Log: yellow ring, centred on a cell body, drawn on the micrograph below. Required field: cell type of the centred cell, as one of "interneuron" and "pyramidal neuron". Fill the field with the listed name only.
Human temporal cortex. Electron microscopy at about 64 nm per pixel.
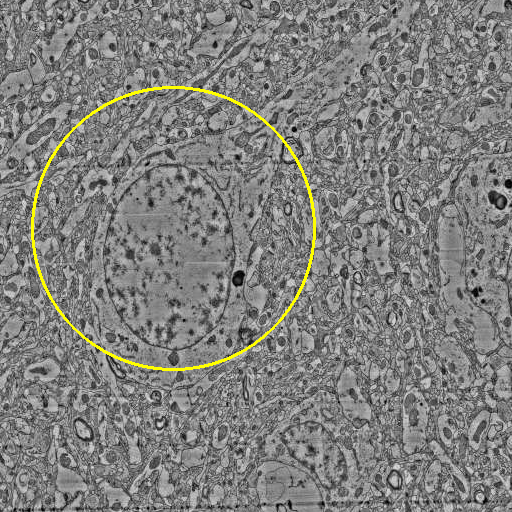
pyramidal neuron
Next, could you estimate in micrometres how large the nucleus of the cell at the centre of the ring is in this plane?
Roughly 12 by 9 micrometres is the size of the nucleus in this plane.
